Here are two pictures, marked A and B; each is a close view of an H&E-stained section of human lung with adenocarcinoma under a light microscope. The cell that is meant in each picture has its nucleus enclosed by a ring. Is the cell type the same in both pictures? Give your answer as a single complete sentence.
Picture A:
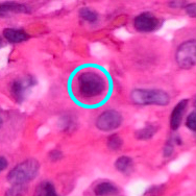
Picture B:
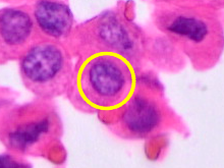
No, the types are not the same, since picture A shows a “macrophage or monocyte” and picture B a carcinoma cell.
